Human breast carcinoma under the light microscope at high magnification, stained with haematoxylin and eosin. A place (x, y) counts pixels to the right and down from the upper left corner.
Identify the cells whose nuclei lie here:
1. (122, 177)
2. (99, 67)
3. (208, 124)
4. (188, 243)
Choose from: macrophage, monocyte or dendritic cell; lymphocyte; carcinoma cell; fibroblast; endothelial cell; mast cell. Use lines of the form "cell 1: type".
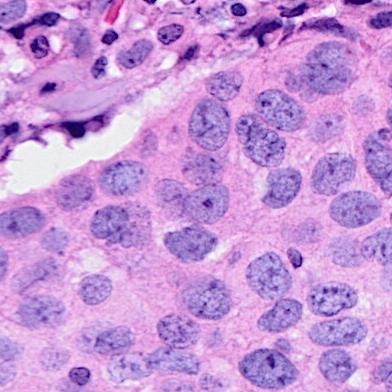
cell 1: carcinoma cell
cell 2: lymphocyte
cell 3: carcinoma cell
cell 4: carcinoma cell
